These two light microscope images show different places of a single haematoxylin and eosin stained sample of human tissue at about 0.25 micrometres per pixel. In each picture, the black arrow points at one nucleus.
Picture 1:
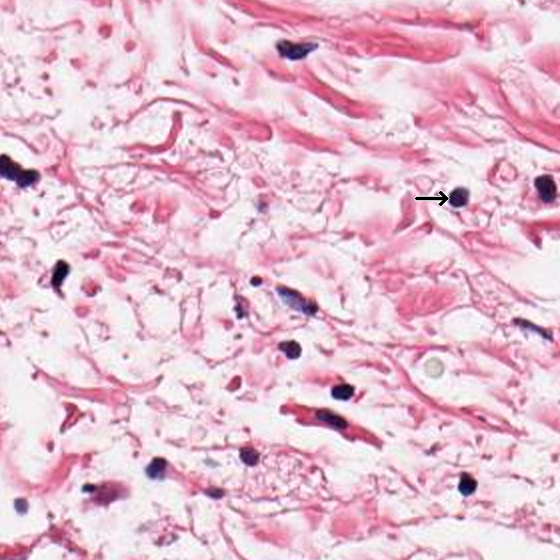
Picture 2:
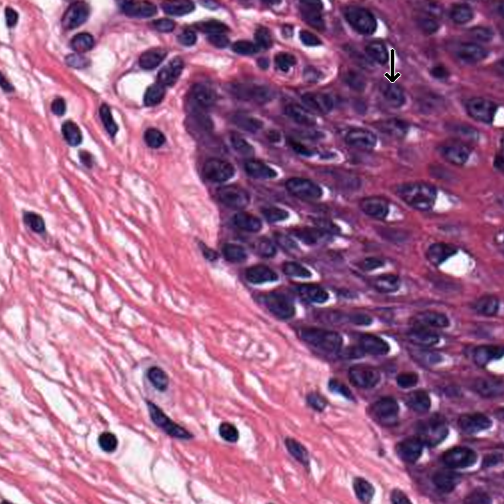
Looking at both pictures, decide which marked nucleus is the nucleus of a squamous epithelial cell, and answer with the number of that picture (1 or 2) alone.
2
